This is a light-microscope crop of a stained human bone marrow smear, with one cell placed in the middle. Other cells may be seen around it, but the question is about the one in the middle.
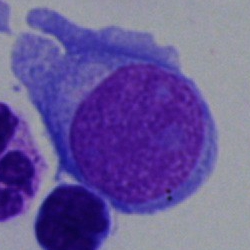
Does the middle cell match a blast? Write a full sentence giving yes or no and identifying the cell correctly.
Yes, the cell that the crop is centred on is a blast.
